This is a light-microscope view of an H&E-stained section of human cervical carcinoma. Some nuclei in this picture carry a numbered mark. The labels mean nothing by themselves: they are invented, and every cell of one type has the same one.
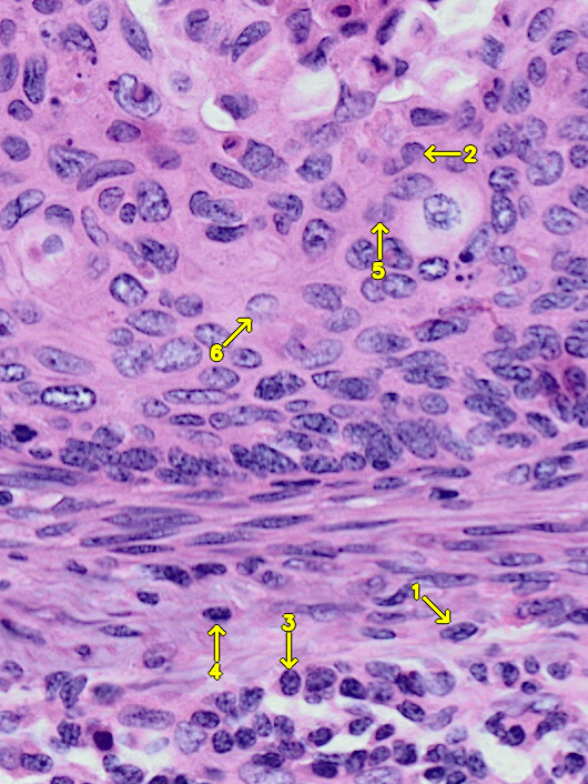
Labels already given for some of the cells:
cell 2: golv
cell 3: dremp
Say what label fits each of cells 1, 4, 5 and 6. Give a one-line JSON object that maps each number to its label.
{"1": "dremp", "4": "dremp", "5": "golv", "6": "golv"}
